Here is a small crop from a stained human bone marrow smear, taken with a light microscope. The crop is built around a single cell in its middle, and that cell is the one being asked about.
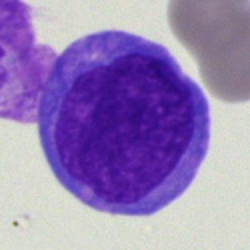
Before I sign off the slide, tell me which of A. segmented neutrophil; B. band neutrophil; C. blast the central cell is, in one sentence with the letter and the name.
Option C is the keyed answer: the cell in the middle is a blast.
